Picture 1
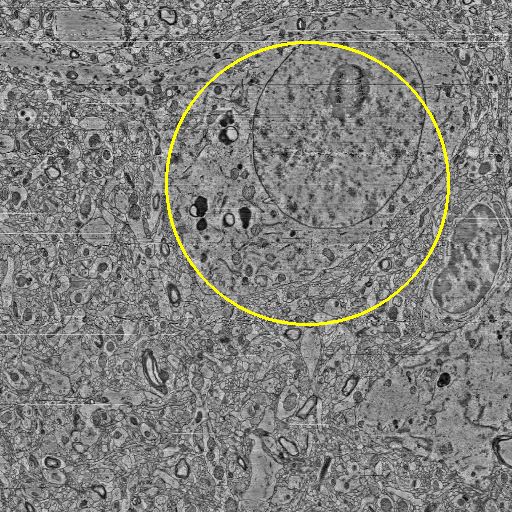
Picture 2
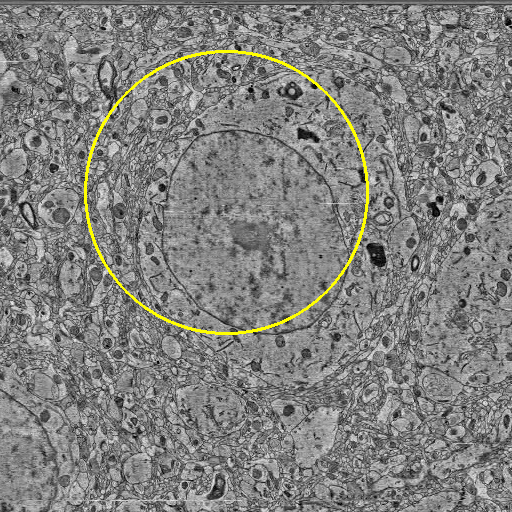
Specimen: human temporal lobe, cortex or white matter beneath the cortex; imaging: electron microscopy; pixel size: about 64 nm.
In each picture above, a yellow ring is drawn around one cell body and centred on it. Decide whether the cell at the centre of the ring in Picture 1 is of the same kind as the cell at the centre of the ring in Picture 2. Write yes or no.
yes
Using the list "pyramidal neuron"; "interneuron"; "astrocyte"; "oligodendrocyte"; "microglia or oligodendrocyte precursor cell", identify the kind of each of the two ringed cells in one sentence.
Each of the two rings is centred on a pyramidal neuron.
